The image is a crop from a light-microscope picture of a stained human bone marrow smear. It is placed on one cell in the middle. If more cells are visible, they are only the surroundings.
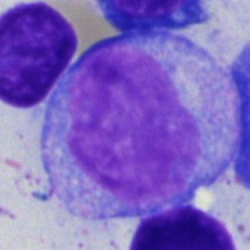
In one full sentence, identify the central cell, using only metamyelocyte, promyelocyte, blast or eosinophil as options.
This crop is built around a blast at its centre.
